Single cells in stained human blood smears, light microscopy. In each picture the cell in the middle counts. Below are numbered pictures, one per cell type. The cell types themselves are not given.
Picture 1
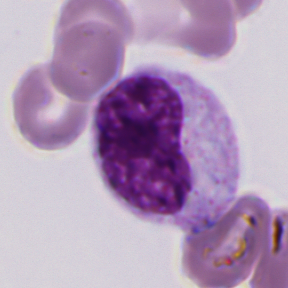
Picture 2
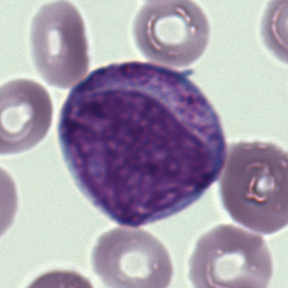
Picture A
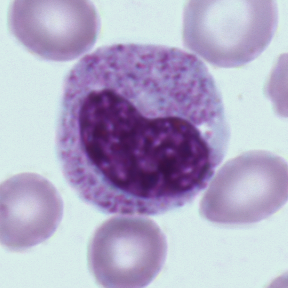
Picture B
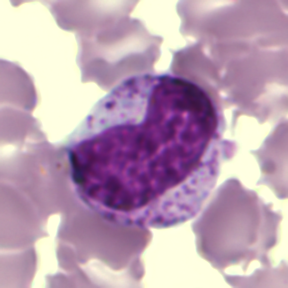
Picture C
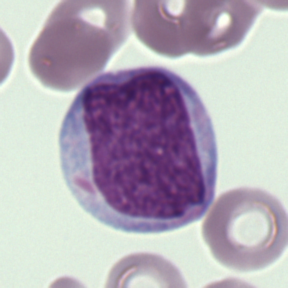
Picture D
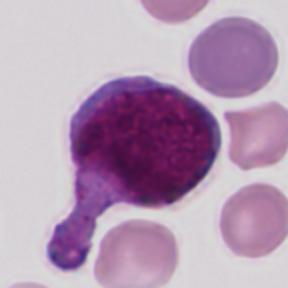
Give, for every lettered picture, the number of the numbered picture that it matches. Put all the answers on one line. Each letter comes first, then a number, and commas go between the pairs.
A 1, B 1, C 2, D 2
